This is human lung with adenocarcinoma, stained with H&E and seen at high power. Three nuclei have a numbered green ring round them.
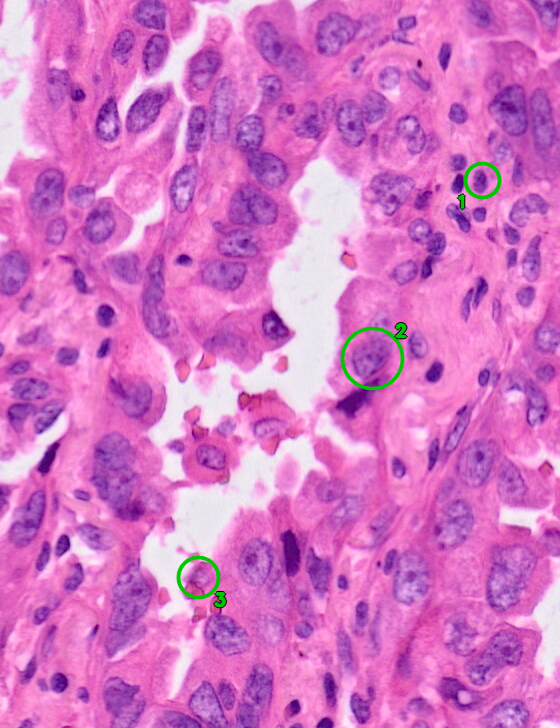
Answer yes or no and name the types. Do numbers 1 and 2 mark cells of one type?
No, cell 1 is a lymphocyte and cell 2 is a carcinoma cell.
